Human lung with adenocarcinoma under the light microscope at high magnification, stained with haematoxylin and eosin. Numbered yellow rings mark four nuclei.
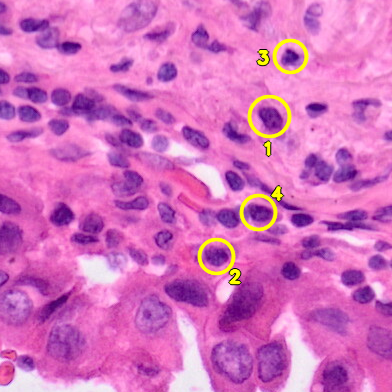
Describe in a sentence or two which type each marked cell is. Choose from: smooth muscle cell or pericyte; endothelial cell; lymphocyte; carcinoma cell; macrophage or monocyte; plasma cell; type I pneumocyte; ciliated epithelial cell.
Cells 1 and 4 are plasma cells. Cells 2 and 3 are lymphocytes.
